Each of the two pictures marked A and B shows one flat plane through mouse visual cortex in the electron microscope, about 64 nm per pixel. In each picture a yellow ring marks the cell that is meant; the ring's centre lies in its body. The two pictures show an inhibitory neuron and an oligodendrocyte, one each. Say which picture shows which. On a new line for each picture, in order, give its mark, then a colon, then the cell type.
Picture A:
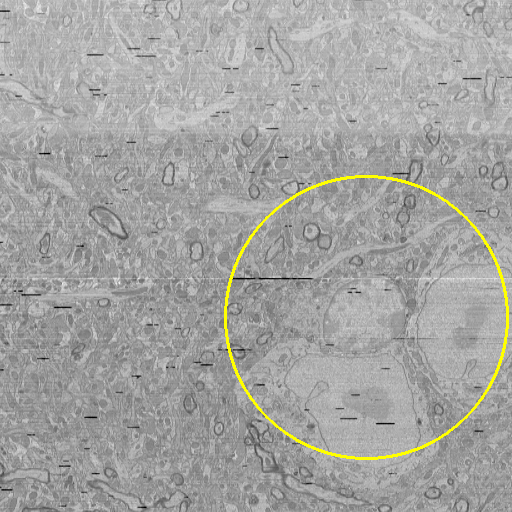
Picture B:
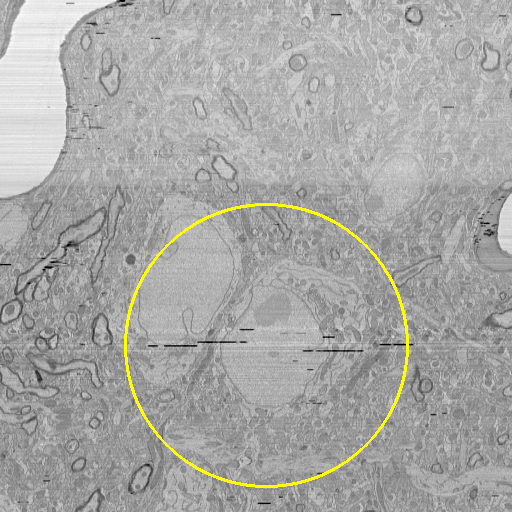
A: oligodendrocyte
B: inhibitory neuron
